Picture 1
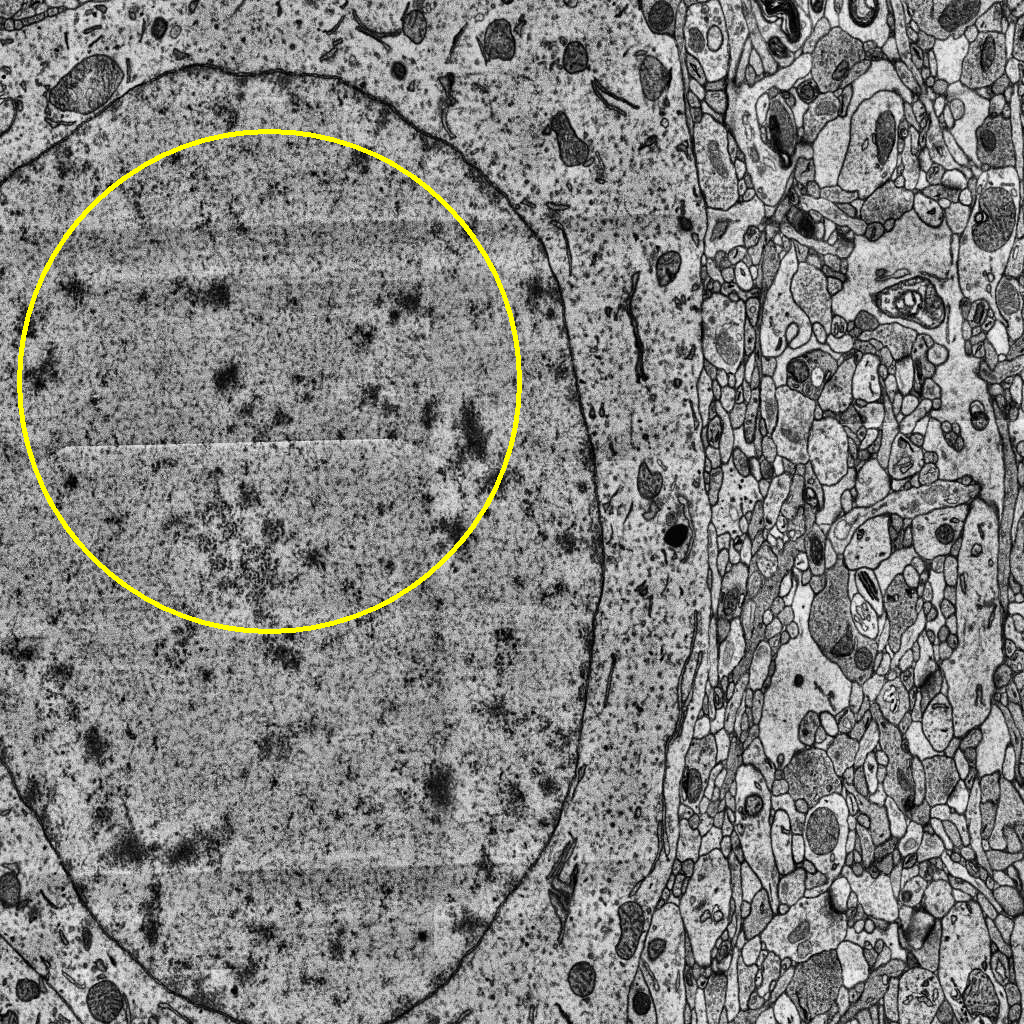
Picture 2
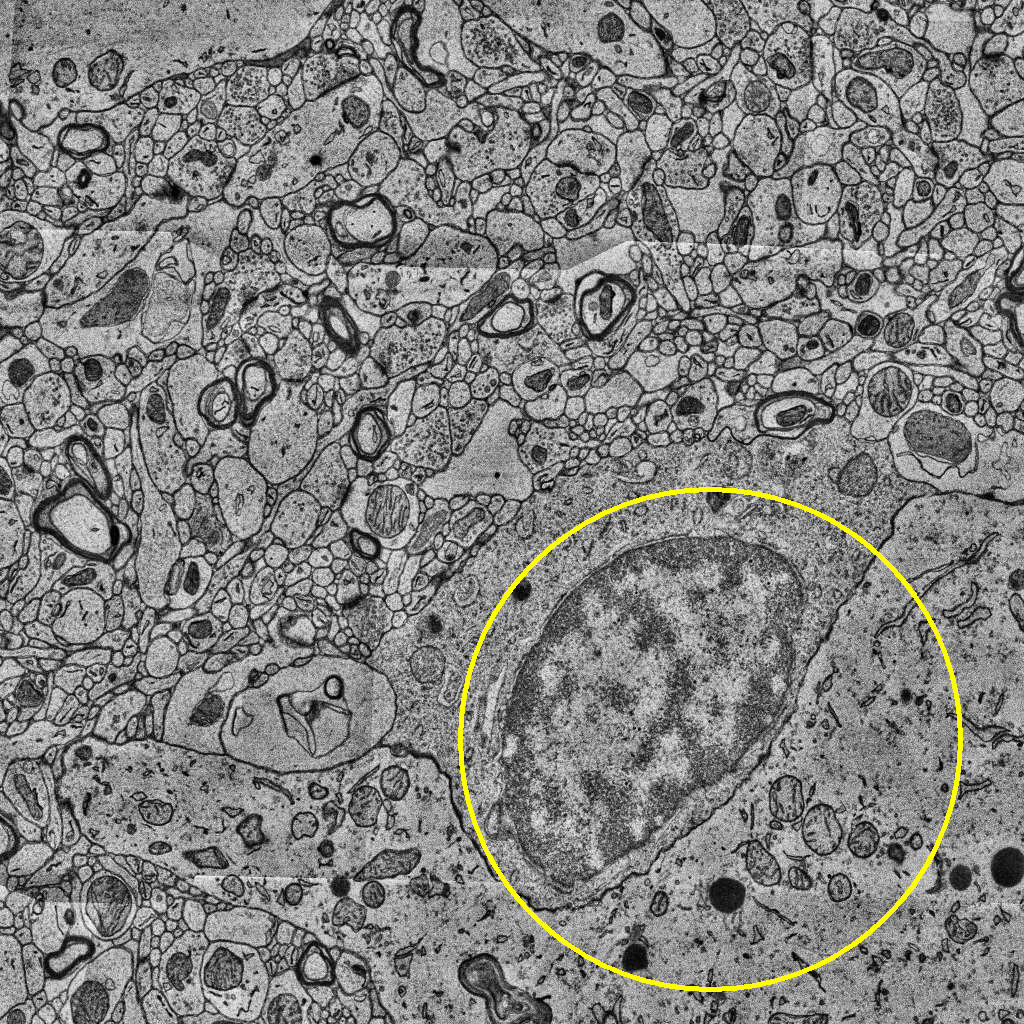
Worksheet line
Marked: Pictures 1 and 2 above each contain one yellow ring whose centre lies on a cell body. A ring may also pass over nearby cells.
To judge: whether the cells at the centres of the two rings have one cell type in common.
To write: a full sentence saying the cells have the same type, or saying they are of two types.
The cells at the centres of the rings in Picture 1 and Picture 2 are of two types.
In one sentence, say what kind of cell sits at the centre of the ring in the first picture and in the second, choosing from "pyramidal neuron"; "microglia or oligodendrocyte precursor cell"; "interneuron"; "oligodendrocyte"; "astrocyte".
The ring in the first picture surrounds a pyramidal neuron, and the ring in the second surrounds an oligodendrocyte.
